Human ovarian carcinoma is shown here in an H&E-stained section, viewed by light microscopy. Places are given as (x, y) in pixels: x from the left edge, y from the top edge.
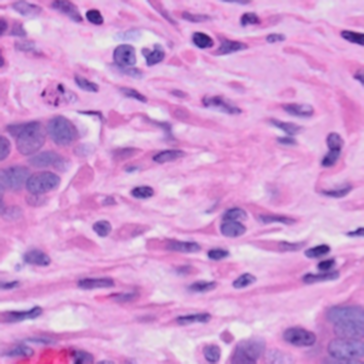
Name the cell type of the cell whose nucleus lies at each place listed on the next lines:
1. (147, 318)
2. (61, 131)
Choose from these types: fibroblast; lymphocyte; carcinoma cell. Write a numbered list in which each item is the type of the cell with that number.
1. fibroblast
2. carcinoma cell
